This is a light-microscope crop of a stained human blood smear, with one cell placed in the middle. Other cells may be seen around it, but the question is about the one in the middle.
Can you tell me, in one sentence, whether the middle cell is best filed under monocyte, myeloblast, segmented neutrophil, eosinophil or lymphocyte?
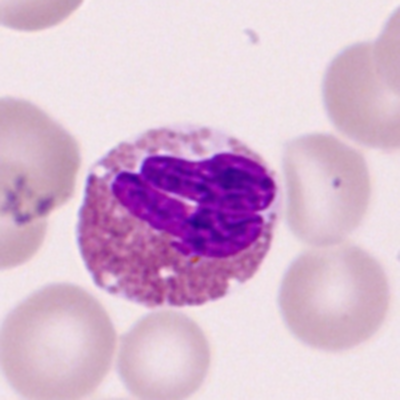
The central cell, amid any neighbouring cells, is an eosinophil.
